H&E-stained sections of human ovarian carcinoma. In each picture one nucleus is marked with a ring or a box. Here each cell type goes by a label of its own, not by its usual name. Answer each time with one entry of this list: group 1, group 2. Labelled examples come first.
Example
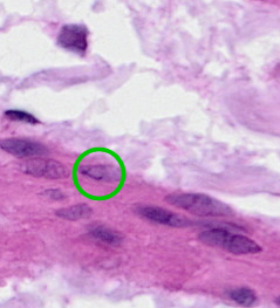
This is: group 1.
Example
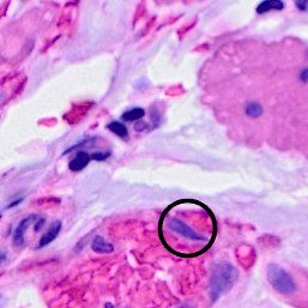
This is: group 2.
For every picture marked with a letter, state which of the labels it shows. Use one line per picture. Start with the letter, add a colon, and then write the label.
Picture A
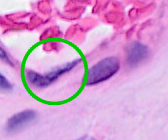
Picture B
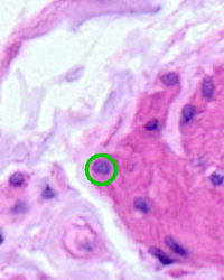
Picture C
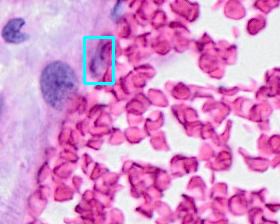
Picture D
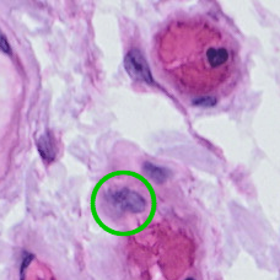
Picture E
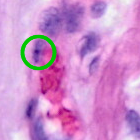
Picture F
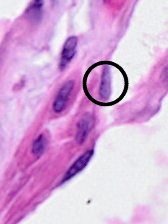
A: group 2.
B: group 1.
C: group 2.
D: group 2.
E: group 2.
F: group 2.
